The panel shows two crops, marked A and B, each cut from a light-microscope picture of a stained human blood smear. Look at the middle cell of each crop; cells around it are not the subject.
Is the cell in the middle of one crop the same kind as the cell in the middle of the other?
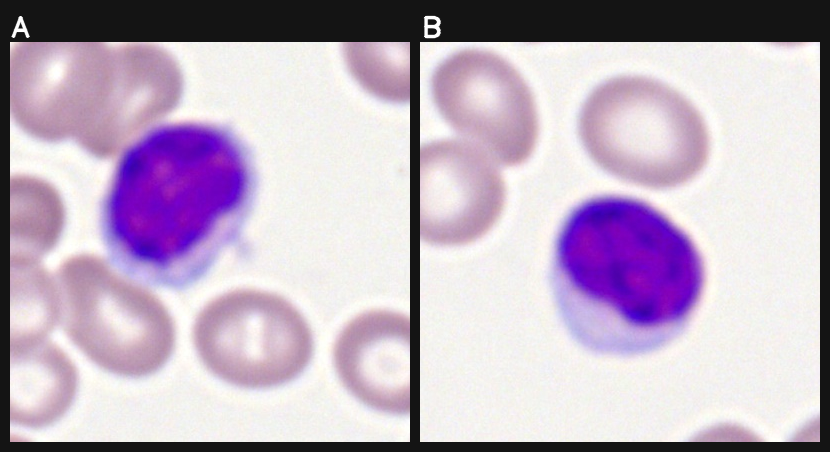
yes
